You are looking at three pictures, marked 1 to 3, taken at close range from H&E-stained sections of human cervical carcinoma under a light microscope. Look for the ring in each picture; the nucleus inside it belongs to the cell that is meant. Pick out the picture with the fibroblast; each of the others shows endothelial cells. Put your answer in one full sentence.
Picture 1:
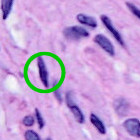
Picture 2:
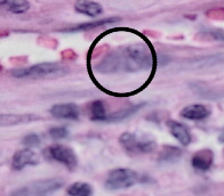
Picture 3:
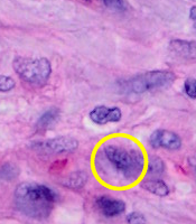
The picture with the fibroblast is 1.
